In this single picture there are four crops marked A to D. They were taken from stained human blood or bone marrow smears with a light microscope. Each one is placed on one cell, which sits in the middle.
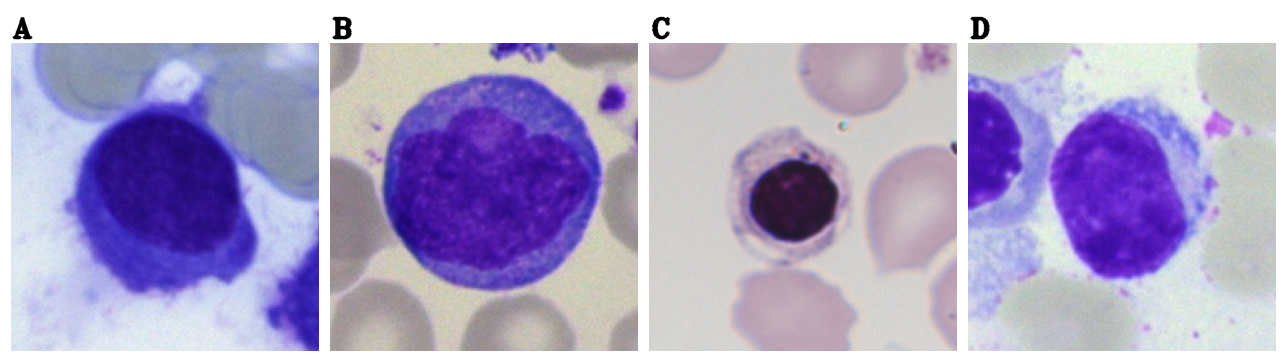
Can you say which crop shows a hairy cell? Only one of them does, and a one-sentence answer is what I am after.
The cell identified as a hairy cell is the one in crop D.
